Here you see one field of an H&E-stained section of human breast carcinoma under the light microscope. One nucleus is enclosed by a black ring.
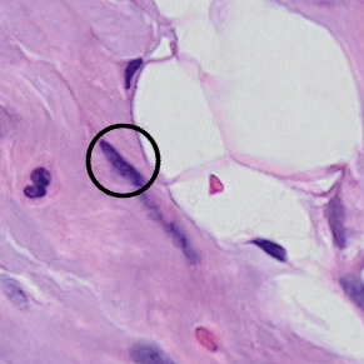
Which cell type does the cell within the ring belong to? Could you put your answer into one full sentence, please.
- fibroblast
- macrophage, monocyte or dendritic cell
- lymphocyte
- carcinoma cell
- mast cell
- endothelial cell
Labelled by cell type, the cell within the ring is a fibroblast.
